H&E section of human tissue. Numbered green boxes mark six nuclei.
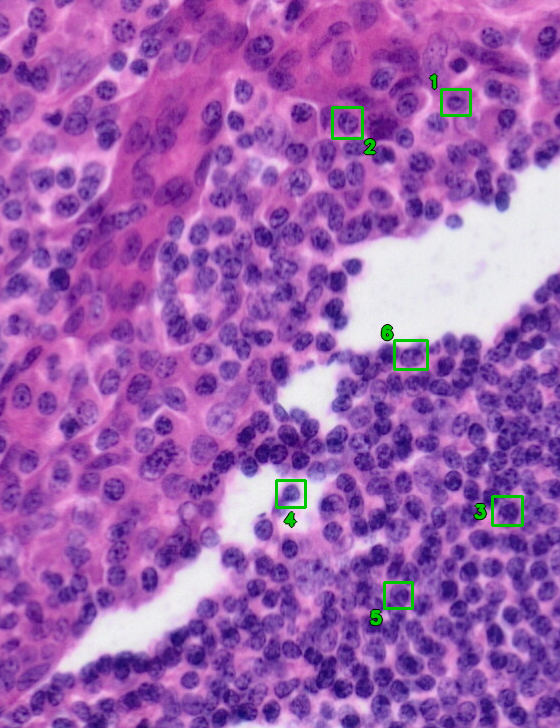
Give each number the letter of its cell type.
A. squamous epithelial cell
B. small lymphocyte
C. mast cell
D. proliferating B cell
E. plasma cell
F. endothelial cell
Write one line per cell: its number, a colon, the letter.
1: E
2: E
3: B
4: B
5: B
6: B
